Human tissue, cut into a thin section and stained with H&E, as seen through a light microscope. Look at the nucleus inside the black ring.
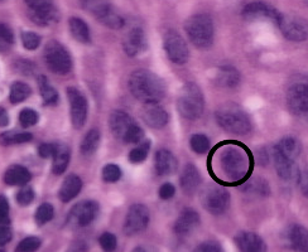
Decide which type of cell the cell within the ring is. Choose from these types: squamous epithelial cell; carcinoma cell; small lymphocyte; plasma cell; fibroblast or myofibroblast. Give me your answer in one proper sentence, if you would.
Students should answer that the cell within the ring is a squamous epithelial cell.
